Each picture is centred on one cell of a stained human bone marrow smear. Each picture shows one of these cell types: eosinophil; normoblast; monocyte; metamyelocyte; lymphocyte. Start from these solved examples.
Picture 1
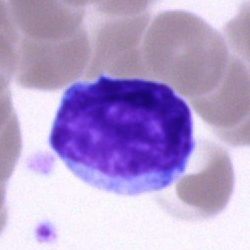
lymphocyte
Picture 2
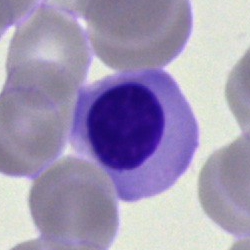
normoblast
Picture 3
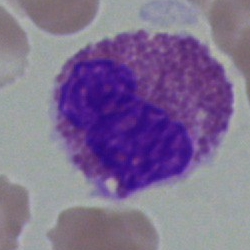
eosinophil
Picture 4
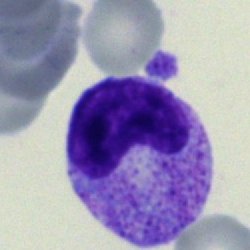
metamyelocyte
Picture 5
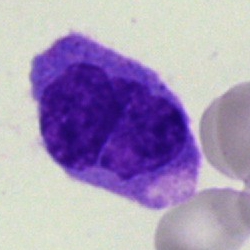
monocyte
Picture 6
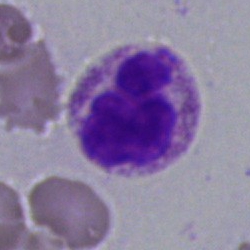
eosinophil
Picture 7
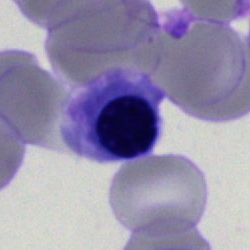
normoblast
